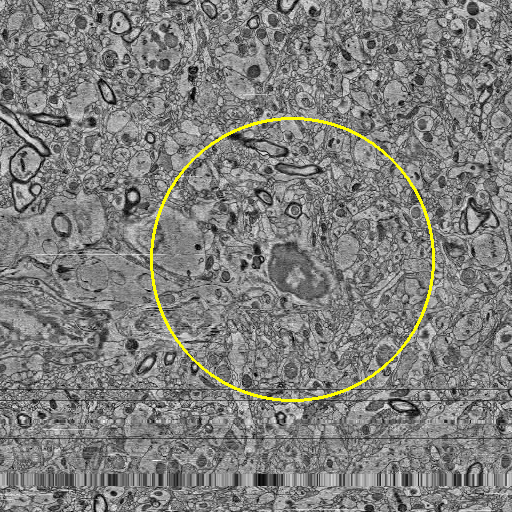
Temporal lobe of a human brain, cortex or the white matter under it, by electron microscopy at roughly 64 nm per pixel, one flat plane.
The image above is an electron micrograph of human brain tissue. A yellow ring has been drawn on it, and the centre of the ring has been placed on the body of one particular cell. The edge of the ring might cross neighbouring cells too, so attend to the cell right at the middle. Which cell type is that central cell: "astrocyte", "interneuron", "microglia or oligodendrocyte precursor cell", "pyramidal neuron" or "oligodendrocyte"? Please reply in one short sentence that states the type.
The central cell in the ring is a microglial cell or oligodendrocyte precursor cell.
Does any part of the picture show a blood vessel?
Yes, a blood vessel is present in this picture.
